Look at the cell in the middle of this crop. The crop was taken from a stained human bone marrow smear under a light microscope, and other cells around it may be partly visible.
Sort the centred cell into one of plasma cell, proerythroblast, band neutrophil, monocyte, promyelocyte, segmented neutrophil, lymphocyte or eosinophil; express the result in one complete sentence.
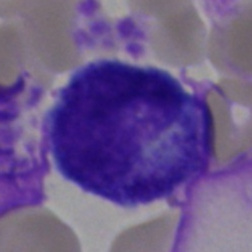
Seen at the centre of the crop is a promyelocyte.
